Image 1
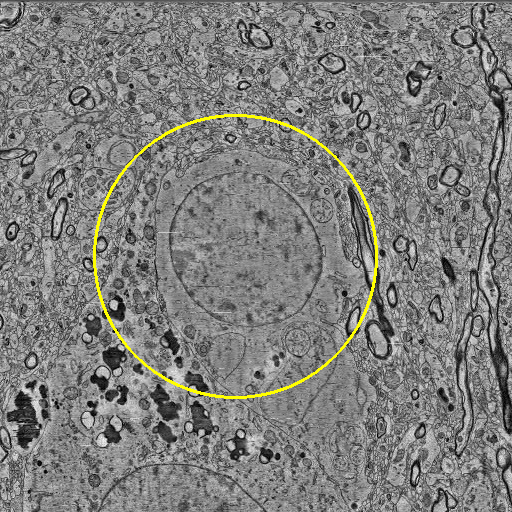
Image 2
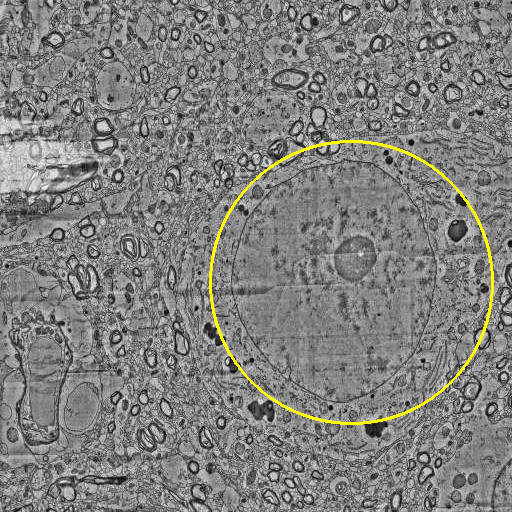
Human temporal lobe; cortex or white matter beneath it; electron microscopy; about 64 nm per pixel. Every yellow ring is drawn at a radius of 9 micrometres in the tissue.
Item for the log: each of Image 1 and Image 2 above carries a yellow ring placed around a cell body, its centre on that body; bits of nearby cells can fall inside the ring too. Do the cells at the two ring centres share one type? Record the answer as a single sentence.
No, the two cells at the ring centres in Image 1 and Image 2 are of two types.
